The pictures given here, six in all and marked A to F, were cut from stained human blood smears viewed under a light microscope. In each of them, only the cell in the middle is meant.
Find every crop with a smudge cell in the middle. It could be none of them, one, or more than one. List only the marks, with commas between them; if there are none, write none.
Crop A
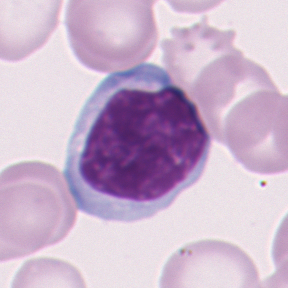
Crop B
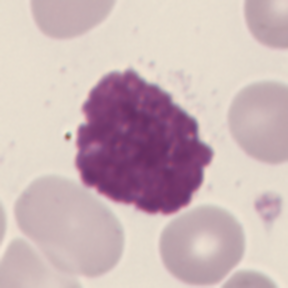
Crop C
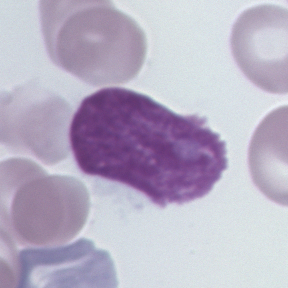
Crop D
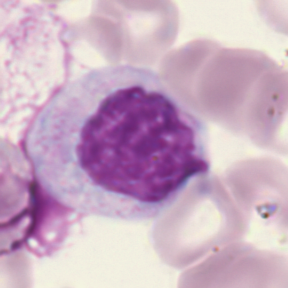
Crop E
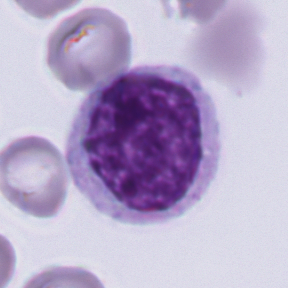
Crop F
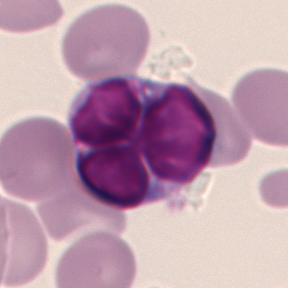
B, C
